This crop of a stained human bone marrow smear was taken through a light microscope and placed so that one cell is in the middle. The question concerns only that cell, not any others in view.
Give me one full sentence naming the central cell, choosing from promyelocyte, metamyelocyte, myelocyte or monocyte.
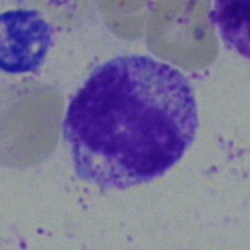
The central cell shown in this smear crop is a metamyelocyte.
